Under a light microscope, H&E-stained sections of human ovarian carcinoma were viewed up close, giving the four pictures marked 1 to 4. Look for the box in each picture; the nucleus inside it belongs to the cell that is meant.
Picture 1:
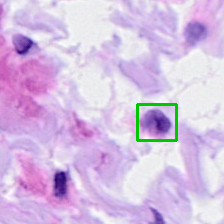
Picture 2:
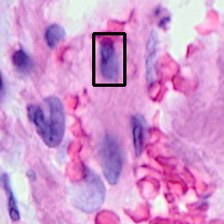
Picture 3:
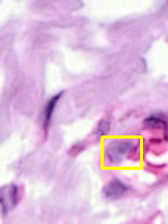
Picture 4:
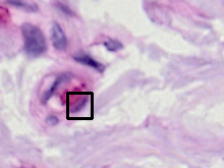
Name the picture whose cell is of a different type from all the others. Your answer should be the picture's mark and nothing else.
1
